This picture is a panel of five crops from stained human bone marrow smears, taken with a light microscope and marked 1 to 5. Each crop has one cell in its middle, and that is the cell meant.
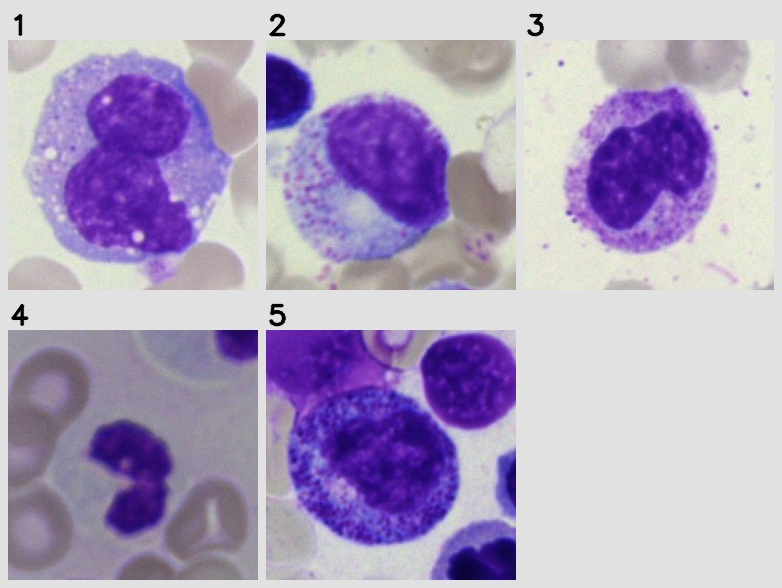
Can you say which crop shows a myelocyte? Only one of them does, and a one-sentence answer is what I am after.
It is crop 2, not any other, that shows a myelocyte.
